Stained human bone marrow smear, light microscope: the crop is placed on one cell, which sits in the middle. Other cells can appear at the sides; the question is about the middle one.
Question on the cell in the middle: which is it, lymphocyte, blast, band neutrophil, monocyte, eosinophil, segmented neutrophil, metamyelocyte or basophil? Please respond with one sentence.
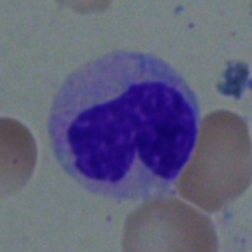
The identification for the central cell is a metamyelocyte.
